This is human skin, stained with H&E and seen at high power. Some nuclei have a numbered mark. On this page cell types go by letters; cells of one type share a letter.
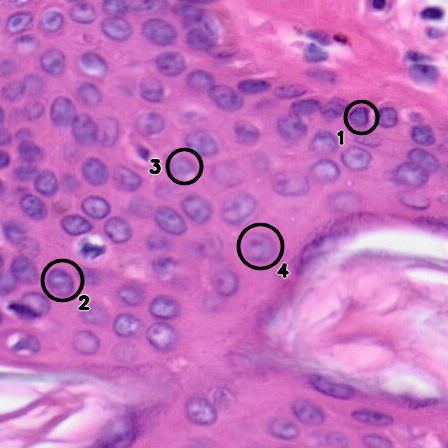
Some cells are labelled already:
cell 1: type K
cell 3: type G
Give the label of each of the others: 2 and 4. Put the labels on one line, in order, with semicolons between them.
type G; type G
